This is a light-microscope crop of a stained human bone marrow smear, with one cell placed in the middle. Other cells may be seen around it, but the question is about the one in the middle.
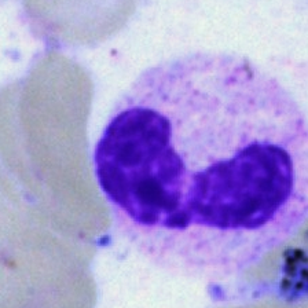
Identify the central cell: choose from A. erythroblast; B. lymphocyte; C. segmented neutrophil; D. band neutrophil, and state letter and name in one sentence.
The correct option, C, names the middle cell as a segmented neutrophil.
